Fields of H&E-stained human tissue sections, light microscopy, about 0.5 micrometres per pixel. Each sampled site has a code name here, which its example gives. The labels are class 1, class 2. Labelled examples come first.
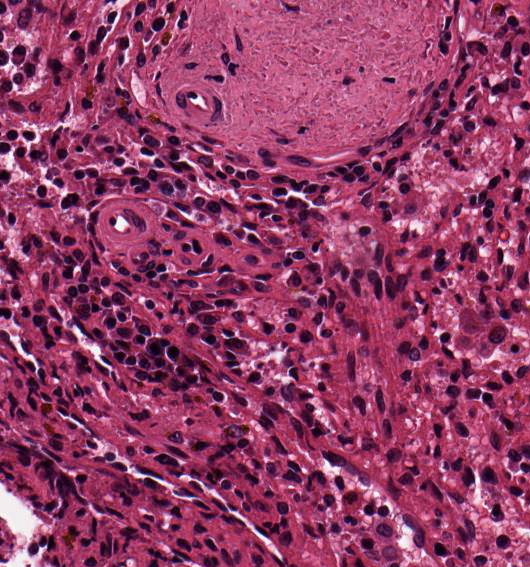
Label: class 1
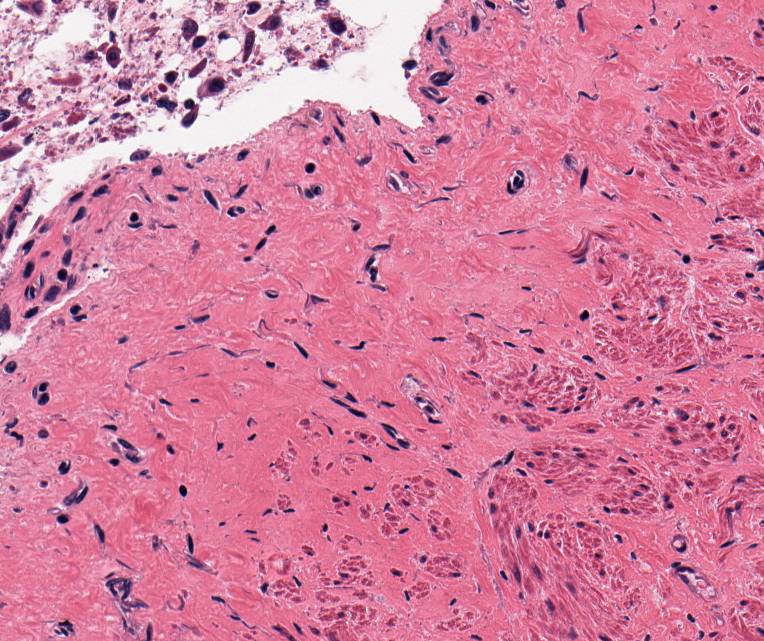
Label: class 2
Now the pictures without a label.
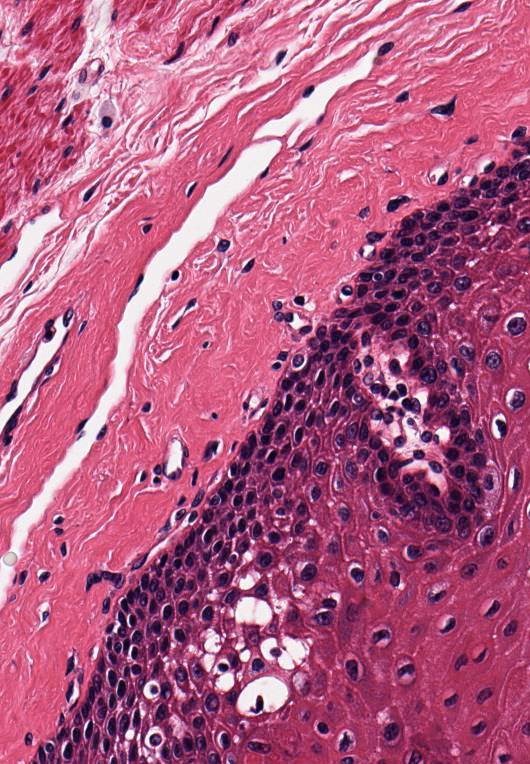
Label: class 2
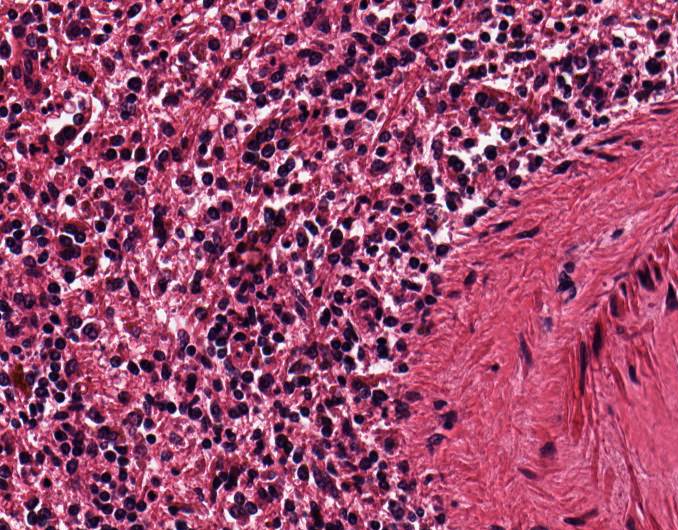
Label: class 1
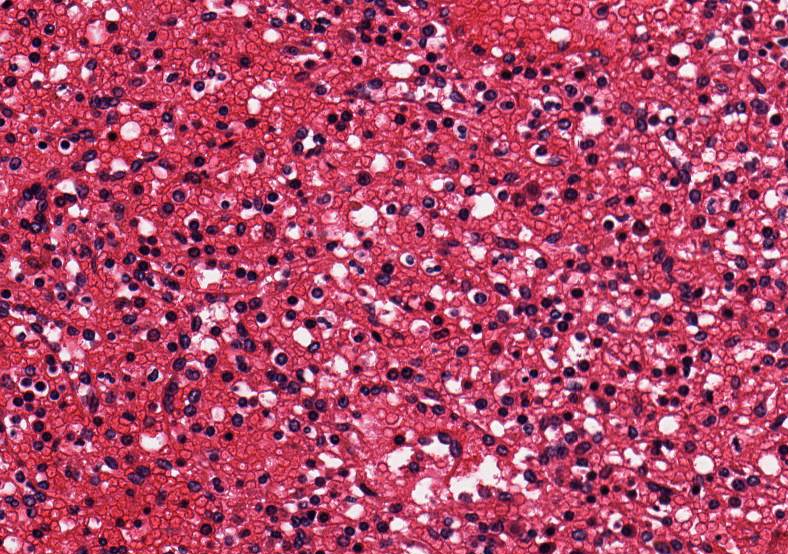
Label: class 1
